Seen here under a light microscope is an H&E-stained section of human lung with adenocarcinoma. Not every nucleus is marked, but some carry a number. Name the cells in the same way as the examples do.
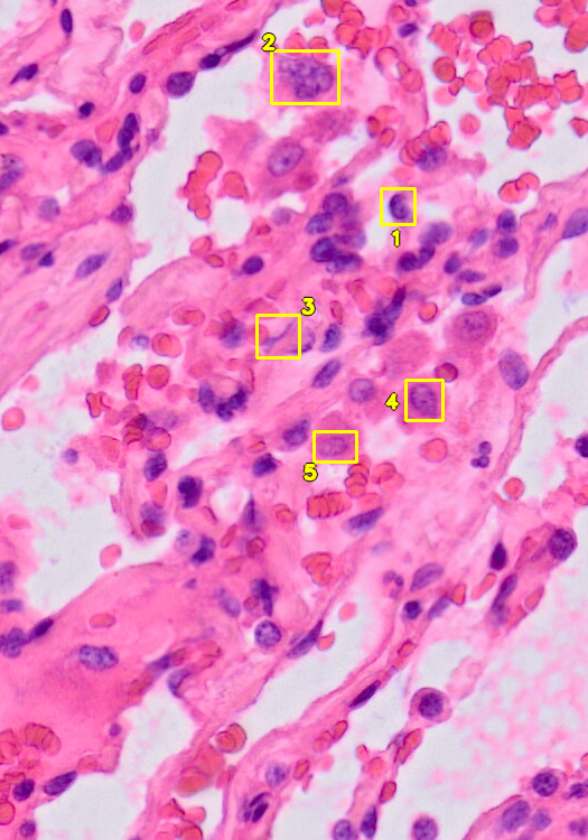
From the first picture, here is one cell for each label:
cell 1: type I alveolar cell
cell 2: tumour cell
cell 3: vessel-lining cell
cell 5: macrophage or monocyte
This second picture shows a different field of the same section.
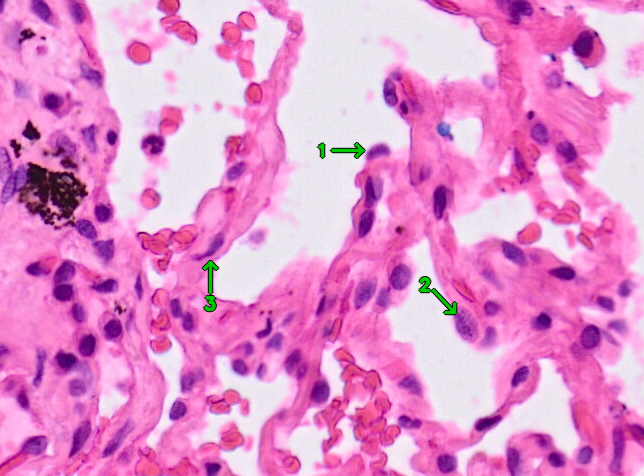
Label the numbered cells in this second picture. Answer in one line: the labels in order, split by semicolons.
type I alveolar cell; type I alveolar cell; vessel-lining cell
